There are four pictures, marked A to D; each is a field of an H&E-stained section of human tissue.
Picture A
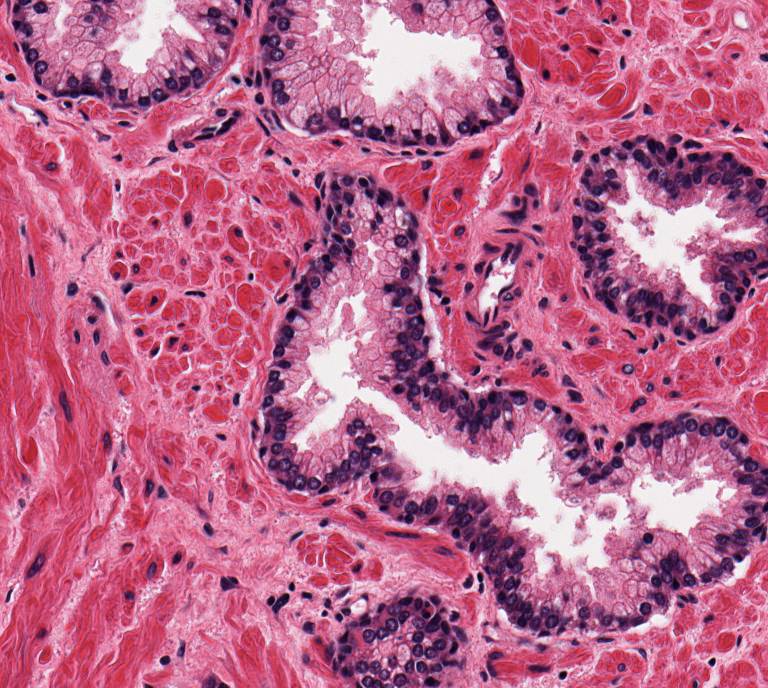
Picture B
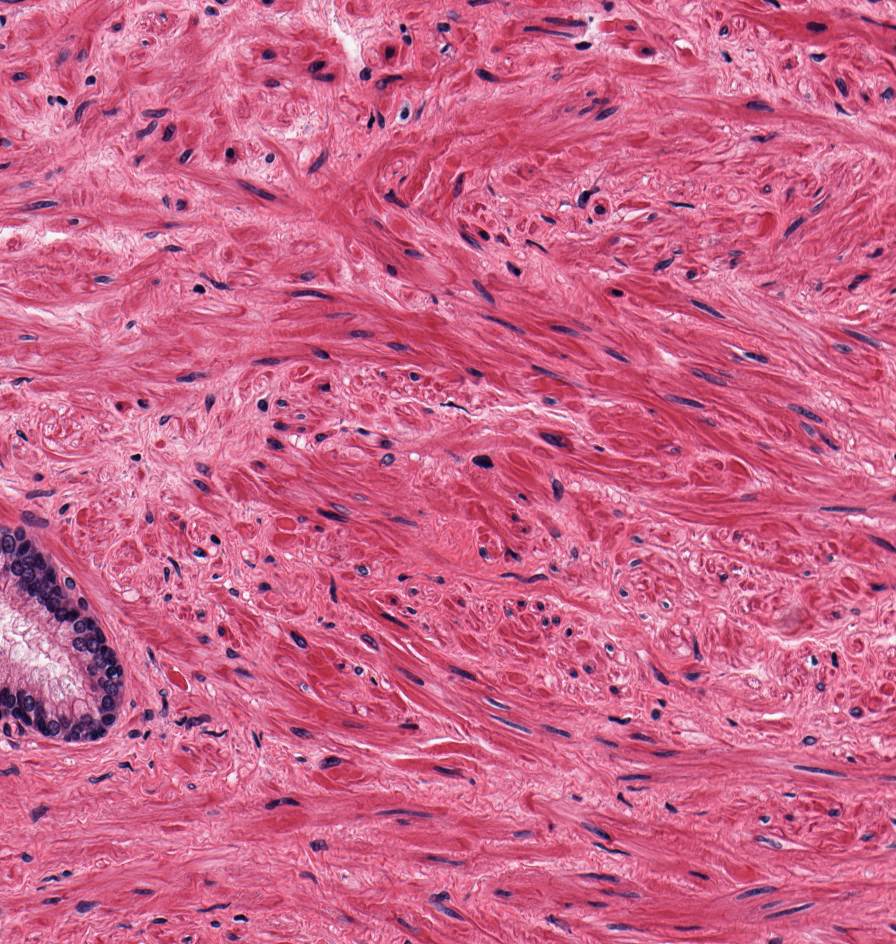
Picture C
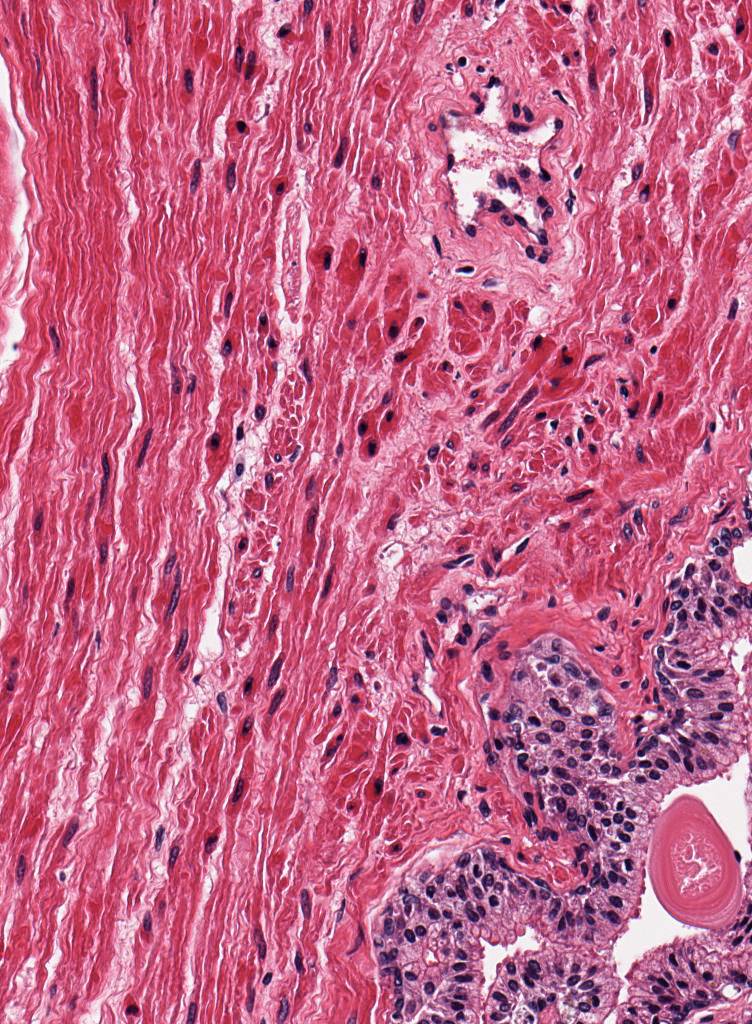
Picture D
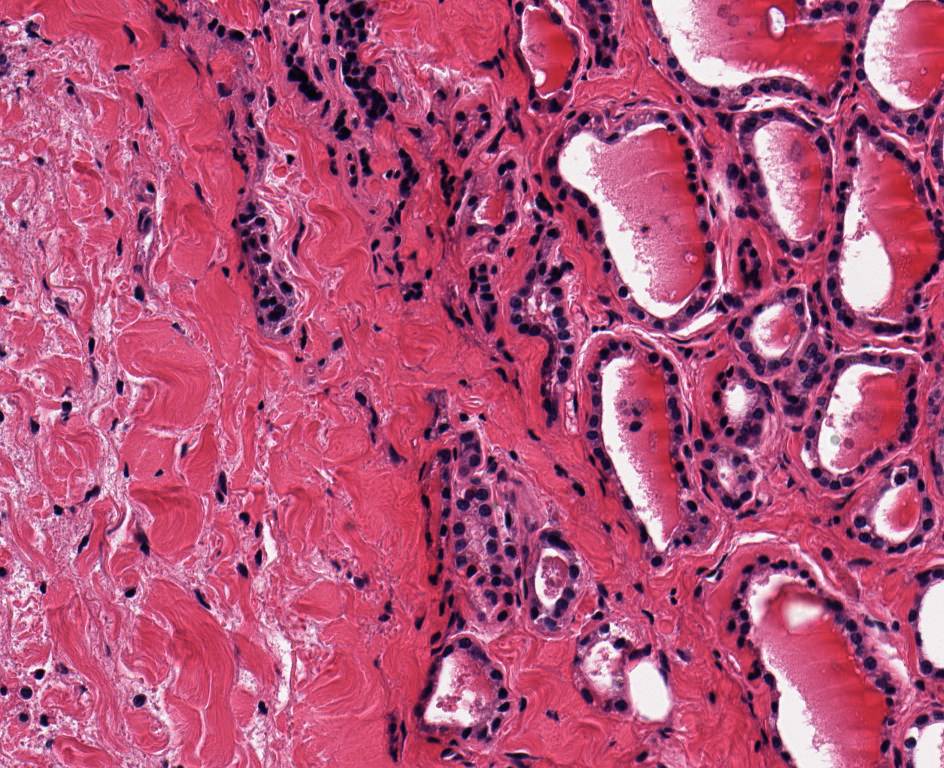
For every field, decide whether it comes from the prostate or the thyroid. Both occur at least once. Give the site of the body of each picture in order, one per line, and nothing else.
prostate
prostate
prostate
thyroid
